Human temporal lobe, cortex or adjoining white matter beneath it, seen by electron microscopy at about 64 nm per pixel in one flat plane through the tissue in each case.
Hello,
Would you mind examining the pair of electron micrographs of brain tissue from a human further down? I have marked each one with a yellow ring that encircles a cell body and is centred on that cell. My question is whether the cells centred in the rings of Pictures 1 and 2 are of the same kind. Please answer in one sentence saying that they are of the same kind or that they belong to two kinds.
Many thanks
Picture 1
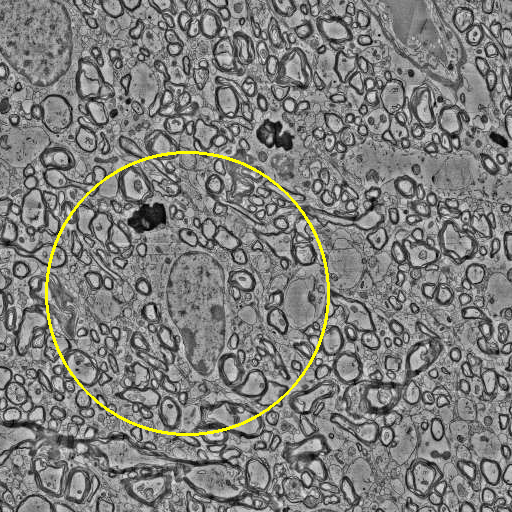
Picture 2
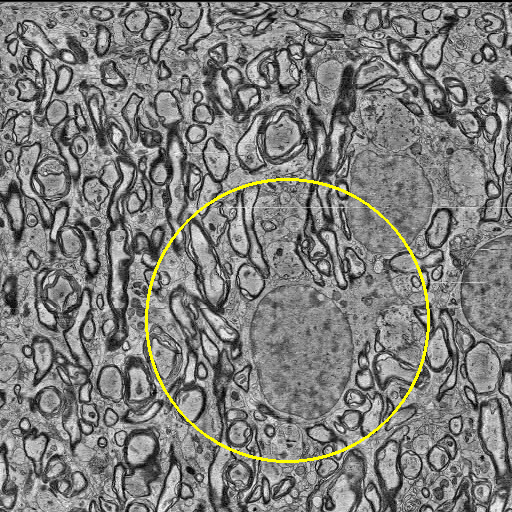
In Pictures 1 and 2, the cells at the heart of the rings belong to two kinds.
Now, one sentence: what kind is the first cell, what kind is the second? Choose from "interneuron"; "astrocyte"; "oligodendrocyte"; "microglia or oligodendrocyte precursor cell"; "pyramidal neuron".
The first picture has a microglial cell or oligodendrocyte precursor cell at its ring centre, and the second has an oligodendrocyte.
